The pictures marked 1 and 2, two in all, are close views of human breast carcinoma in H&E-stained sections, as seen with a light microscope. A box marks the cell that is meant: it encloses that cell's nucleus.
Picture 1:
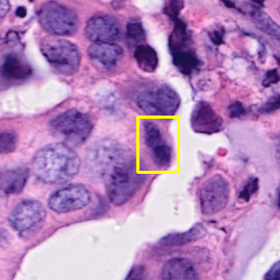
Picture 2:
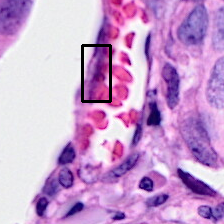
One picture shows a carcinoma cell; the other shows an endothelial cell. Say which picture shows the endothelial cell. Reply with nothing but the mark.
2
